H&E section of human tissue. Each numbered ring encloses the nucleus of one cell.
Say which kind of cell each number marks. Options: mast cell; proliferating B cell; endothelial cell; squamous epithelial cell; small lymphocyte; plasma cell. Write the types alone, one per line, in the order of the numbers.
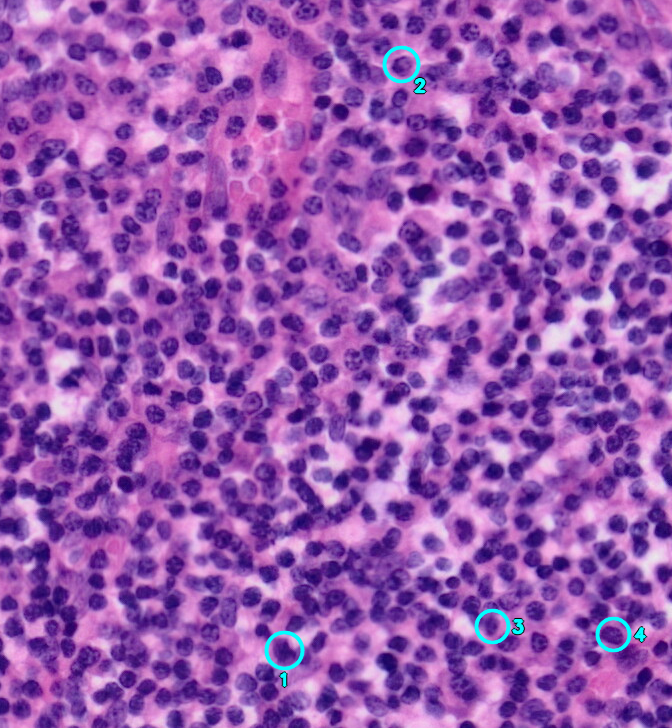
proliferating B cell
plasma cell
small lymphocyte
plasma cell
